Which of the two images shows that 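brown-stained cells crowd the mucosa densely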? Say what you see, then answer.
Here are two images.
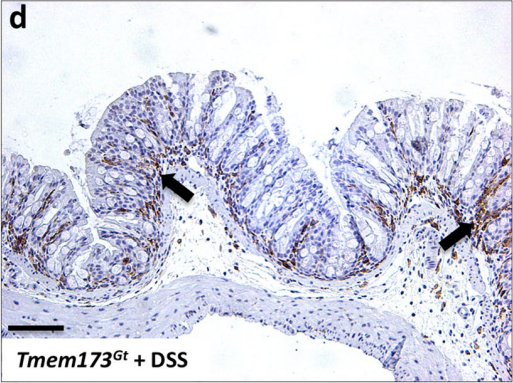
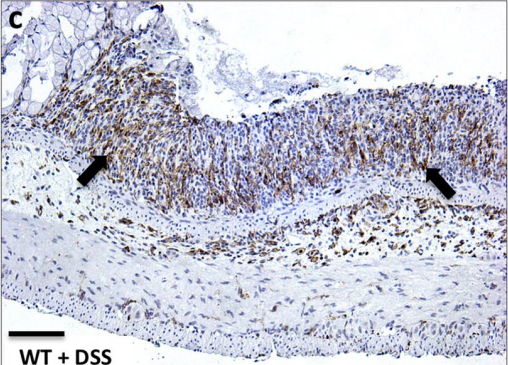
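First image: brown cells scattered between intact crypts, mostly at crypt bases. Second image: brown cells densely packed through a flattened mucosa and into the submucosa. So: the second image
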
